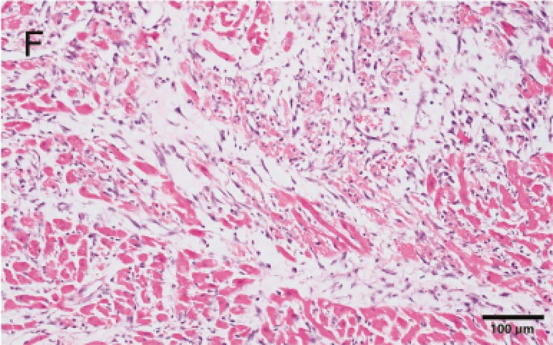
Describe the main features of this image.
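Heart muscle shows coagulation necrosis with an interstitial infiltrate of inflammatory cells. The cardiac muscle fibres are broken into short, irregular pink fragments that mostly lack visible nuclei and striations. Between the fragments lies a widened, pale interstitium. Numerous small cells with dark purple nuclei are scattered densely through this interstitium among the damaged fibres. The orderly parallel arrangement of fibres seen in normal myocardium is lost over much of the field.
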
